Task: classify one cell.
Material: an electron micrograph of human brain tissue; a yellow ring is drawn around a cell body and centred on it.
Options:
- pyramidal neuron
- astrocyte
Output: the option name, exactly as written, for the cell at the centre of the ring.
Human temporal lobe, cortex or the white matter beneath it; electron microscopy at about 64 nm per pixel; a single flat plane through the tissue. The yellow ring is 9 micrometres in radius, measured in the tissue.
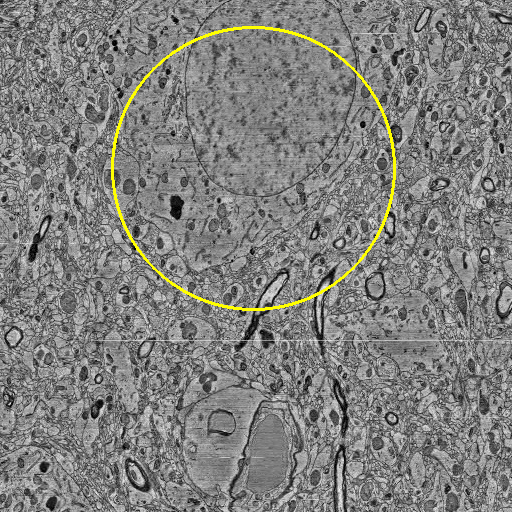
pyramidal neuron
